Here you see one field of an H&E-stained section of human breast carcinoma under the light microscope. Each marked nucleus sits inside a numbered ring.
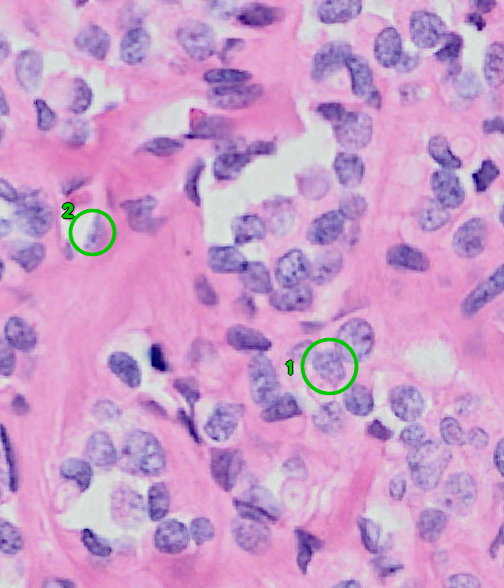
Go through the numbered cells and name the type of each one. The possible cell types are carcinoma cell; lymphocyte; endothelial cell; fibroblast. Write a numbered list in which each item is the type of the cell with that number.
1. carcinoma cell
2. endothelial cell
